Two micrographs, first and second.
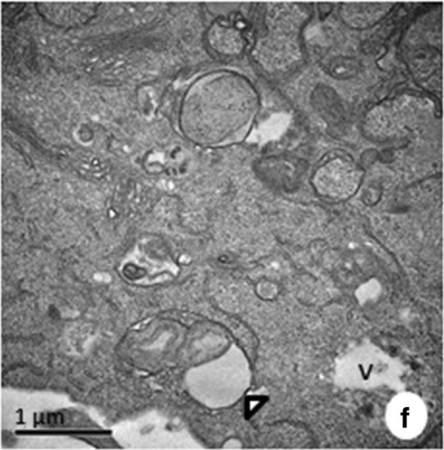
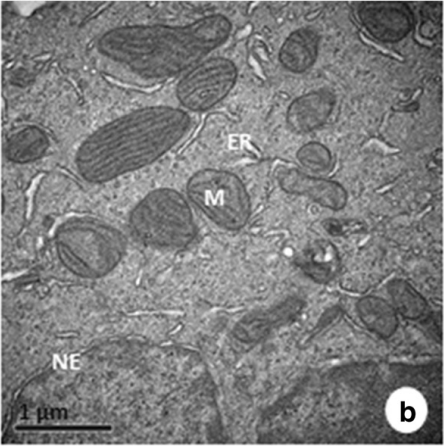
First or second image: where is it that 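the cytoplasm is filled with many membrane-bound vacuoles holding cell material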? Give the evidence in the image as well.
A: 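The first image. First image: numerous round membrane-bound vacuoles of varied size, some pale and empty, some with membranous contents. Second image: cytoplasm packed with intact mitochondria and thin reticulum cisternae, with hardly any vacuoles.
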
